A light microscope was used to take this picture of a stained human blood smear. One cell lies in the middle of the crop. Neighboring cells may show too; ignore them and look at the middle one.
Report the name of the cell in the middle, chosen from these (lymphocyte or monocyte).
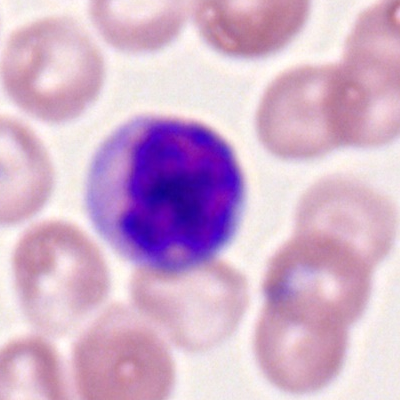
lymphocyte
